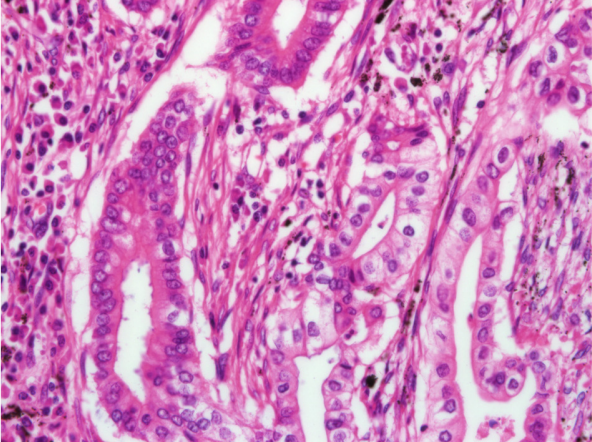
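Elongated, irregular glands are lined by tall columnar tumour cells with large oval nuclei, visible nucleoli and pale pink cytoplasm, within a stroma holding inflammatory cells and black pigment. The cells end at the lumen in a straight, flat border, the flat apical cytoplasm of this adenocarcinoma.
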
